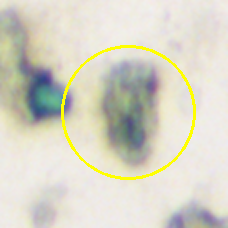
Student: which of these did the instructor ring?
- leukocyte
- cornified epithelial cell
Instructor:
The cell I ringed is a cornified epithelial cell.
